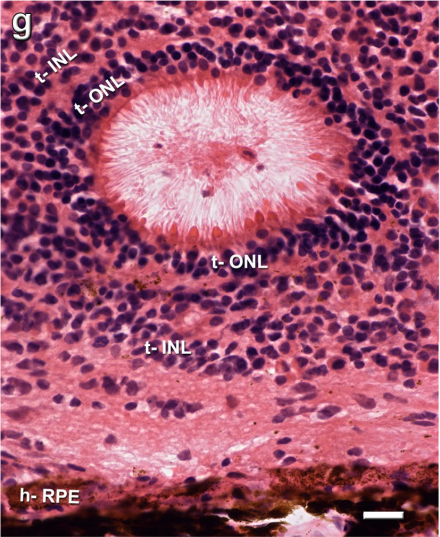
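A round central lumen is filled with pale pink, finely striated material that radiates toward the center, the outer segments. It is ringed by a band several cells thick of small, round, densely packed dark purple nuclei. Outside this ring lie further, more loosely arranged dark nuclei separated by paler pink fibrillar zones. Toward the bottom lies a pink fibrous band with scattered elongated nuclei, and at the lower edge a dark brown pigmented layer. A few small brown granules are scattered through the tissue.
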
